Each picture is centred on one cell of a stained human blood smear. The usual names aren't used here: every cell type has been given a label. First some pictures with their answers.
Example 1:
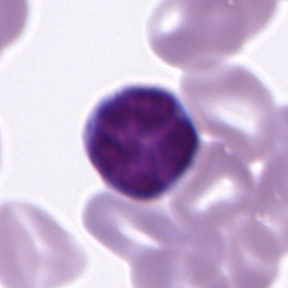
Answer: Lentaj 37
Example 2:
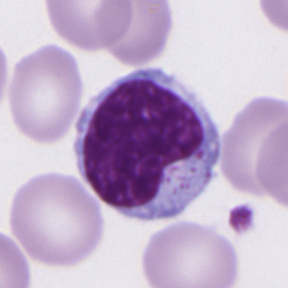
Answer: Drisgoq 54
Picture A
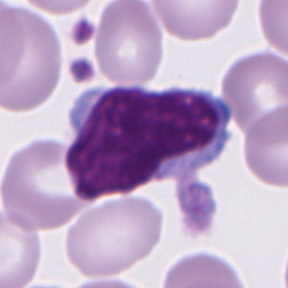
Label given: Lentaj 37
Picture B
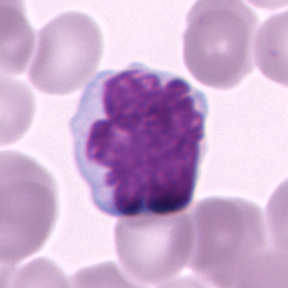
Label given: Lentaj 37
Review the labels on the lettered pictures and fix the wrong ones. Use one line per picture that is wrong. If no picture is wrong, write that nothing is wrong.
B should be Drisgoq 54, not Lentaj 37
